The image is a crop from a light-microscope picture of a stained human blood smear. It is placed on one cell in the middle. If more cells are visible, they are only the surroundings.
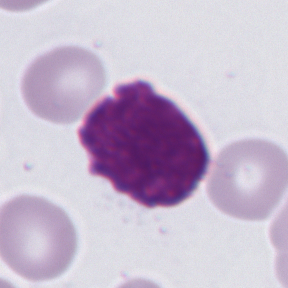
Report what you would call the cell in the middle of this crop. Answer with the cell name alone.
smudge cell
